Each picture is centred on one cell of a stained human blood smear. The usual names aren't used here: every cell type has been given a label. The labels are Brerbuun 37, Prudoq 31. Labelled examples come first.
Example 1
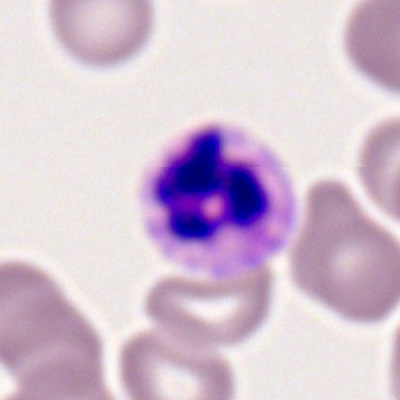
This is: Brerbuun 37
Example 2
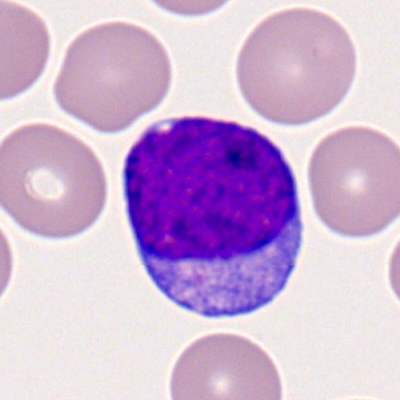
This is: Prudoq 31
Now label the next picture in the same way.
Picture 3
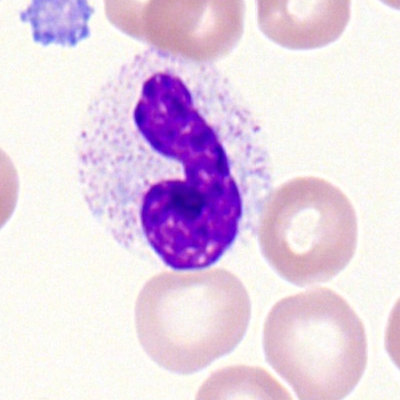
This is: Brerbuun 37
